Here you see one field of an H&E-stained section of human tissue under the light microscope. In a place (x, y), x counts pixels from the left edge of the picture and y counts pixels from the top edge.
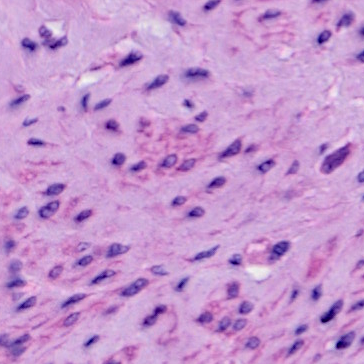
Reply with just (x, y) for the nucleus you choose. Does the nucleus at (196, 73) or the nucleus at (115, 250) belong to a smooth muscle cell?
(115, 250)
